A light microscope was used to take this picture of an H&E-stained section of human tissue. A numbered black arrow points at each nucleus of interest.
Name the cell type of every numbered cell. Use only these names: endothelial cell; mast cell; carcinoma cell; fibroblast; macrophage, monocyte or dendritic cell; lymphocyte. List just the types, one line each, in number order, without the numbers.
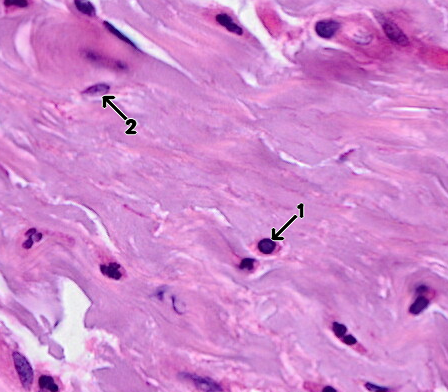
mast cell
fibroblast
